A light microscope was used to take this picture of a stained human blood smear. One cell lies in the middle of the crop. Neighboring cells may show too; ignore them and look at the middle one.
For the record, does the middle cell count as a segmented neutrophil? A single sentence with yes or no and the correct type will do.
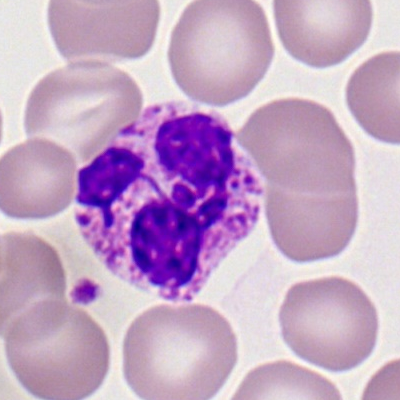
No, the cell in the centre of the crop is a basophil as opposed to a segmented neutrophil.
